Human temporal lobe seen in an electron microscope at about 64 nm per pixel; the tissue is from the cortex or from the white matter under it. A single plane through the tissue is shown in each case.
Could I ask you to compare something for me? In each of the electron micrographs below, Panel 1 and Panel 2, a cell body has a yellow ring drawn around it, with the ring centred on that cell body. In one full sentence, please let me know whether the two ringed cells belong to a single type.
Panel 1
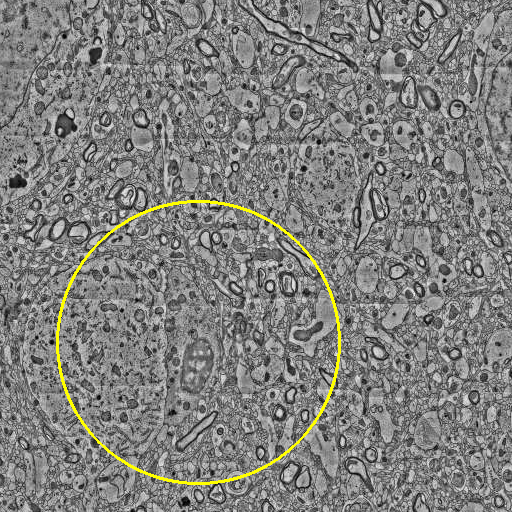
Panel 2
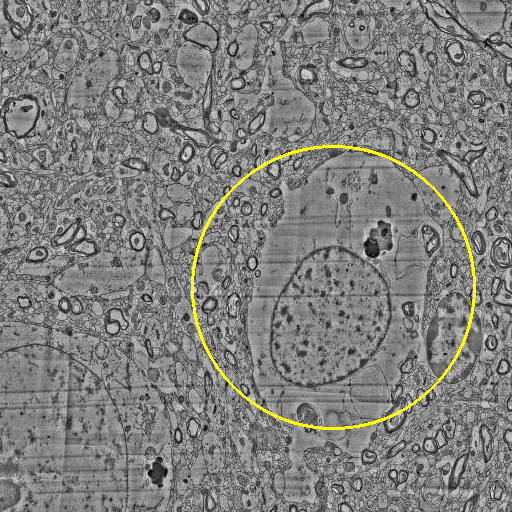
No, the two cells at the centres of the rings are of two types.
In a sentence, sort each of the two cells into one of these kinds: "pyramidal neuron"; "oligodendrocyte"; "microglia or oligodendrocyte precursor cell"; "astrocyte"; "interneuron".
The first of the two cells is an oligodendrocyte, and the second is an astrocyte.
